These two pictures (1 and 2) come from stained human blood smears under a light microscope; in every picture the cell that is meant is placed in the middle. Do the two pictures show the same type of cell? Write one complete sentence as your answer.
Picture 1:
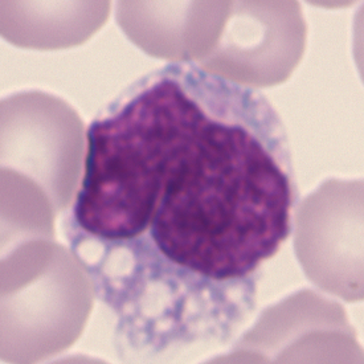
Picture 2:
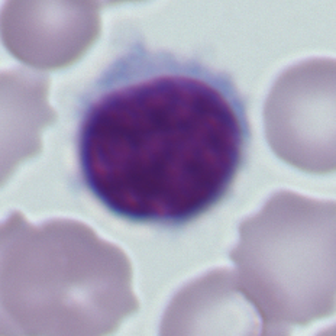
No, they differ: the cell is a monocyte in picture 1 and a hairy cell in picture 2.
